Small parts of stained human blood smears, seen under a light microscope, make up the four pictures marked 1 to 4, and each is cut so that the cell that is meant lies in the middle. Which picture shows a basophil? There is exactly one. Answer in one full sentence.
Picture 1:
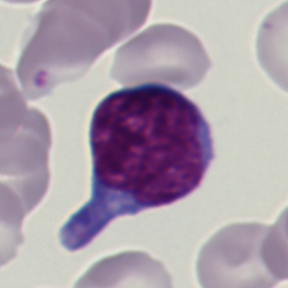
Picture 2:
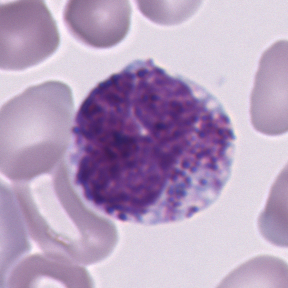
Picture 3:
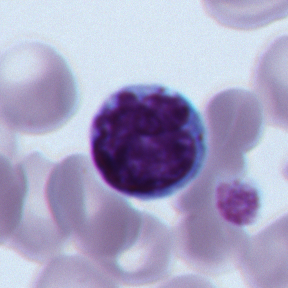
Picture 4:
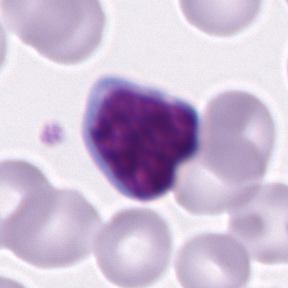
The cell in picture 2 is the basophil.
